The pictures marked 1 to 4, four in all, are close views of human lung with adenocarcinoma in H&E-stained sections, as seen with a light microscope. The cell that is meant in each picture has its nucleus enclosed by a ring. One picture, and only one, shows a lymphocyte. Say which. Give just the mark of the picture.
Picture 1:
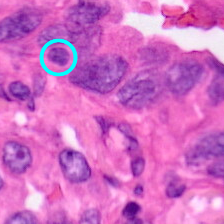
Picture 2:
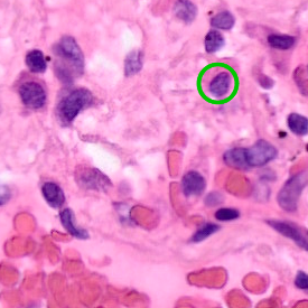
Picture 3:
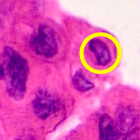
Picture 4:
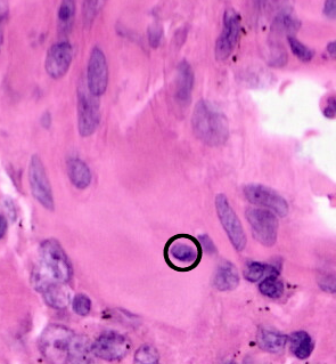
1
